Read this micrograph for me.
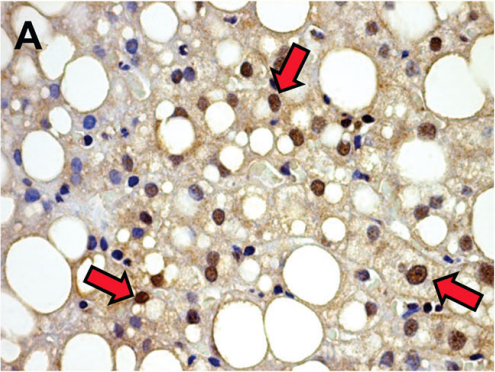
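This is liver tissue made of large polygonal hepatocytes, heavily interrupted by clear, round fat vacuoles that range from small droplets to very large spaces many times the size of a nucleus. The hepatocyte cytoplasm has a diffuse light brown tint, and many of the round hepatocyte nuclei are stained dark brown, while others remain blue. Several of the brown nuclei are flagged by arrows. Small, elongated, dark blue nuclei lying between the hepatocytes belong to cells lining the sinusoids. The vacuoles push aside the surrounding cytoplasm, giving the tissue a crowded, bubbly appearance.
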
